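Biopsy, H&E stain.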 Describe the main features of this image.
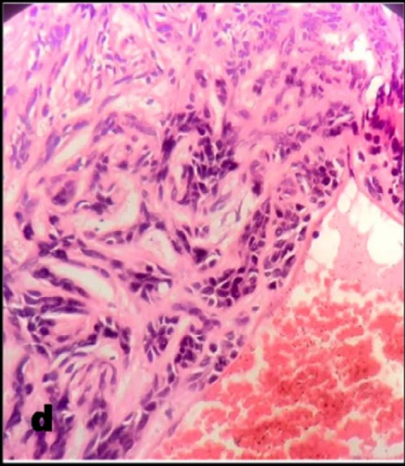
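This is tumor tissue in which the tumor cells lie in small nests and cords separated by thin strands of pale pink fibrous stroma. The borders between neighbouring cells are hard to make out, so the nests look like clusters of nuclei in a shared cytoplasm. In the lower right a large pool of red blood cells fills a space beside the tumor. The stroma between the nests is loose and wavy, giving the tissue a network-like pattern.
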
